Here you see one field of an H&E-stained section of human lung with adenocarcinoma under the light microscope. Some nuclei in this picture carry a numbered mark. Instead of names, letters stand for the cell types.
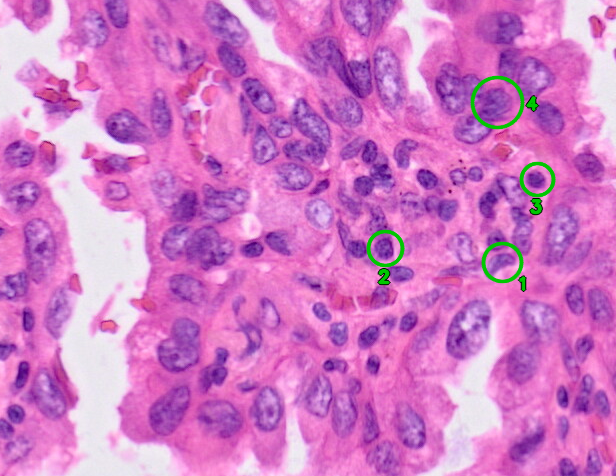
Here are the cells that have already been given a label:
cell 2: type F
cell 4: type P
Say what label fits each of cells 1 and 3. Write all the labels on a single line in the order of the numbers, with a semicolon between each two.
type F; type F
